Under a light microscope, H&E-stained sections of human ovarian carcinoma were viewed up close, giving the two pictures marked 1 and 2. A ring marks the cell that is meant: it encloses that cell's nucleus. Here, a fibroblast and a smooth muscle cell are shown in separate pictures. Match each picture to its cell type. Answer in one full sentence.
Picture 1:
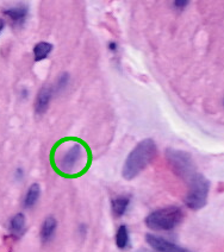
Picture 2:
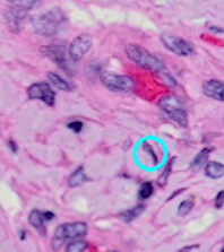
In picture 1 the cell is a smooth muscle cell; in picture 2, a fibroblast.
